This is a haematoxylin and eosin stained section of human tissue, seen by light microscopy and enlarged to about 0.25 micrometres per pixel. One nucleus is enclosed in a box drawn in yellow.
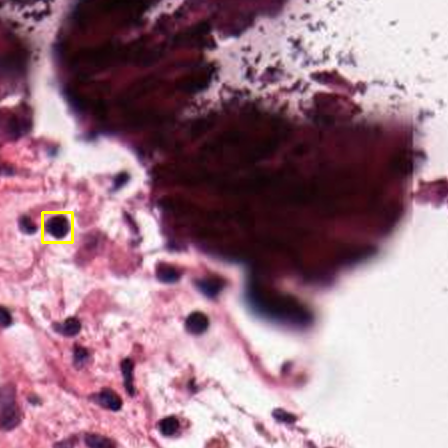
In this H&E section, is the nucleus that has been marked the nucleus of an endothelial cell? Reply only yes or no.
no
